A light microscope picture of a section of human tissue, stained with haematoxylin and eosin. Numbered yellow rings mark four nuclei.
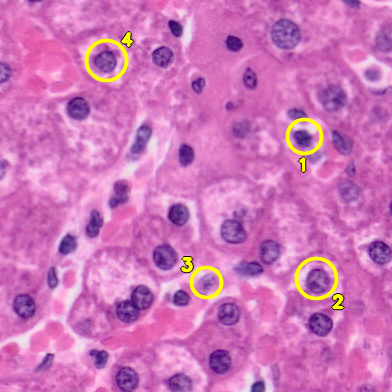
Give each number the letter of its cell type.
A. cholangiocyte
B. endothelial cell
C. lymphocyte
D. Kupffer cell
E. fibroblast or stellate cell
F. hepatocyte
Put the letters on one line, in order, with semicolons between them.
C; F; D; F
